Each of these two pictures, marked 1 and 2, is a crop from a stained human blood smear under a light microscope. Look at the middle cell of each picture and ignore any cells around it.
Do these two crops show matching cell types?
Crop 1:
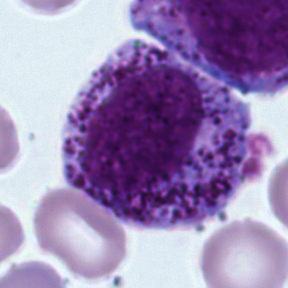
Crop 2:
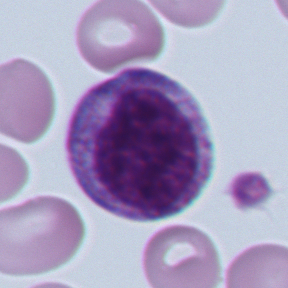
yes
